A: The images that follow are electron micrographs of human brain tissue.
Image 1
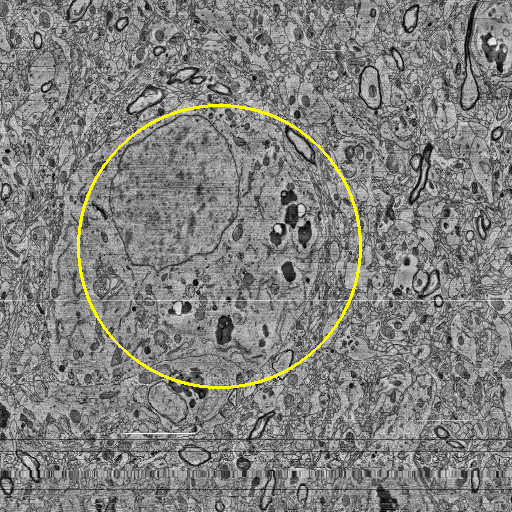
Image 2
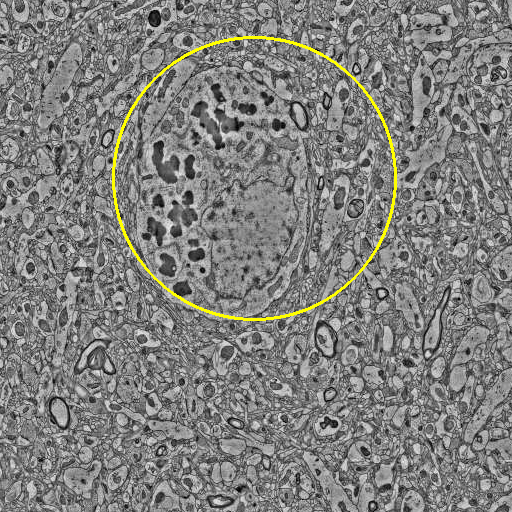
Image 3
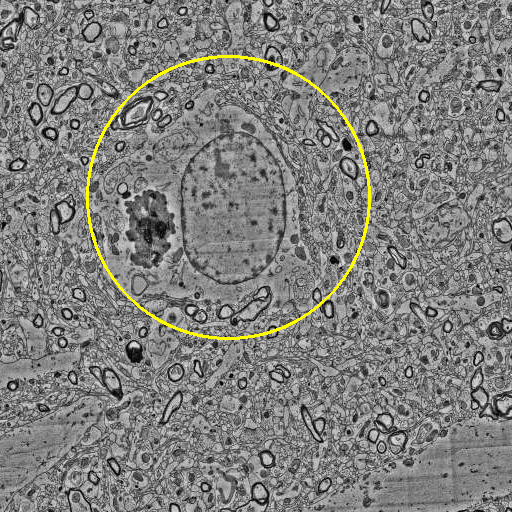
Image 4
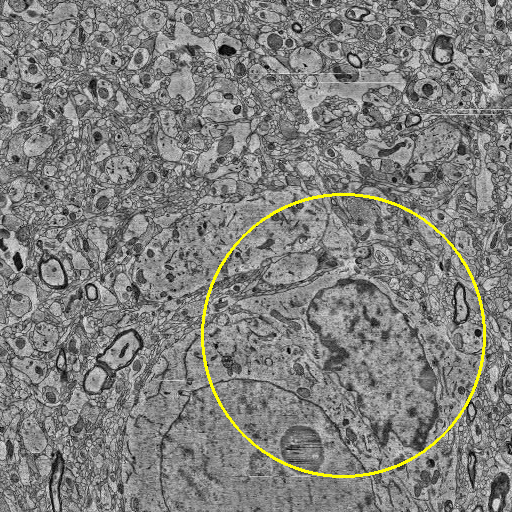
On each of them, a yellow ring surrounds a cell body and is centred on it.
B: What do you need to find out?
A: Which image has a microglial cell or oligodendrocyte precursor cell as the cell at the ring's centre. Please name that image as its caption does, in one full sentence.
Image 4 is the one whose ring has the sought cell at its centre.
